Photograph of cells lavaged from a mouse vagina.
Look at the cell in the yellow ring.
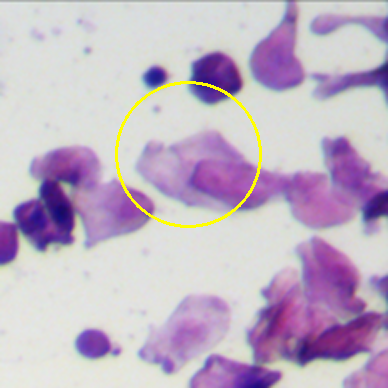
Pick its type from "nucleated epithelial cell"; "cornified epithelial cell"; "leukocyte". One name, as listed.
cornified epithelial cell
